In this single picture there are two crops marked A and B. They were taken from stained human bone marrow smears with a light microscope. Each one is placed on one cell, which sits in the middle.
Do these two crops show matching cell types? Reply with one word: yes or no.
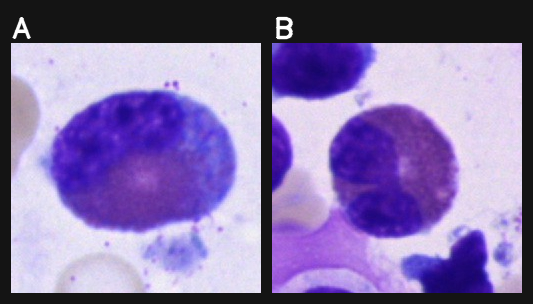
yes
